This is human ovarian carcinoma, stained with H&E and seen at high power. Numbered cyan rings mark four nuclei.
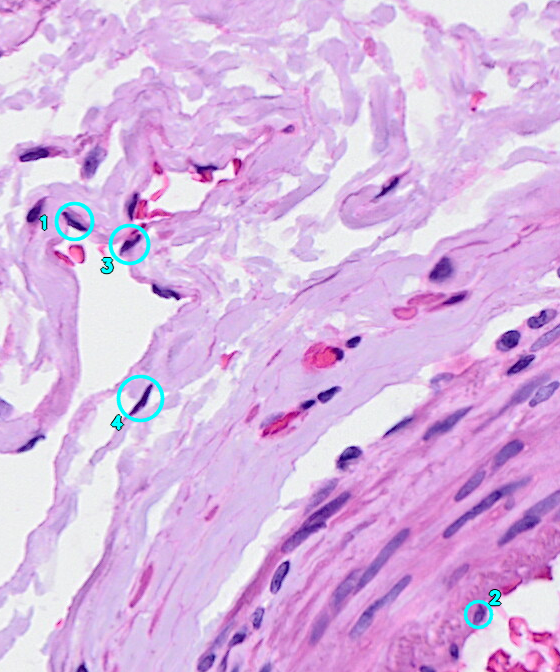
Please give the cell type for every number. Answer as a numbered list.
1. endothelial cell
2. endothelial cell
3. endothelial cell
4. fibroblast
